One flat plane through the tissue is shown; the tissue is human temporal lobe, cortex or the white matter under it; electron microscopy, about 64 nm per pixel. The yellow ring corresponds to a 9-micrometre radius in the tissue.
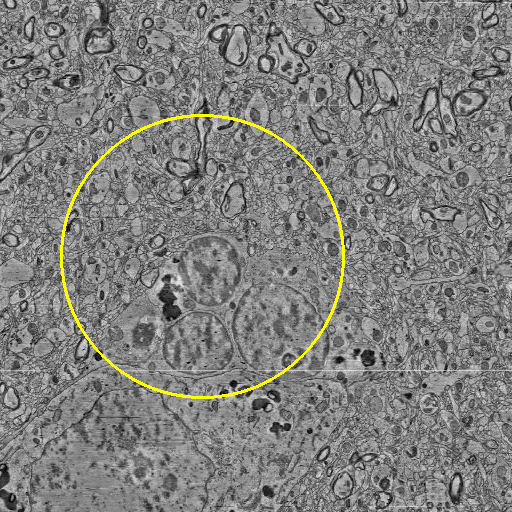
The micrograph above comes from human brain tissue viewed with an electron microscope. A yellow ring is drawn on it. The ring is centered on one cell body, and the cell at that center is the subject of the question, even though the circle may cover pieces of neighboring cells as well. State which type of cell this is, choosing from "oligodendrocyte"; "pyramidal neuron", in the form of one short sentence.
The cell the ring is centered on is an oligodendrocyte.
